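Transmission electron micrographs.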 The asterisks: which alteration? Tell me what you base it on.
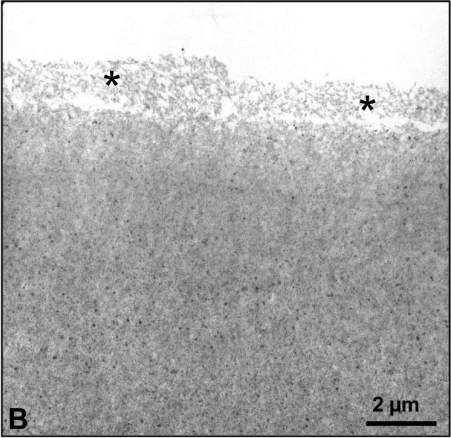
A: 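A loose, flocculent surface band lies on top of the denser layer. Clear gaps separate parts of this band from the layer beneath.
Hence: Roughened and loosely structured surface layer.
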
